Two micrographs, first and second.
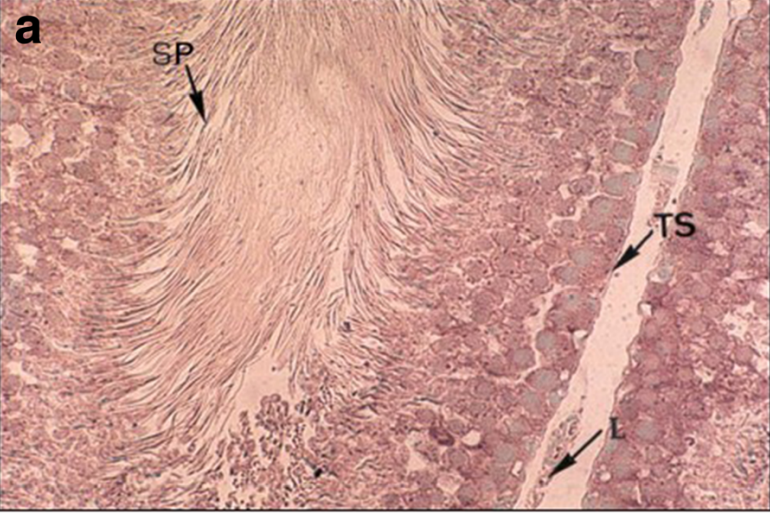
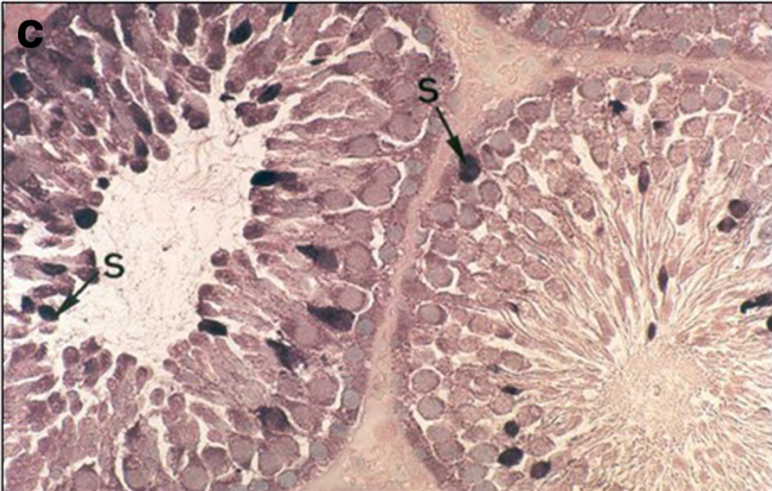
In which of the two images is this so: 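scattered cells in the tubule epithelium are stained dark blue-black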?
the second image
